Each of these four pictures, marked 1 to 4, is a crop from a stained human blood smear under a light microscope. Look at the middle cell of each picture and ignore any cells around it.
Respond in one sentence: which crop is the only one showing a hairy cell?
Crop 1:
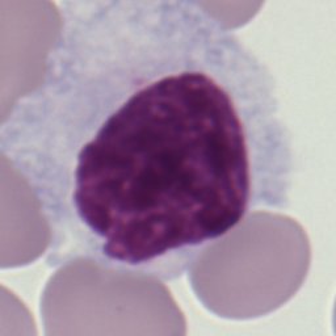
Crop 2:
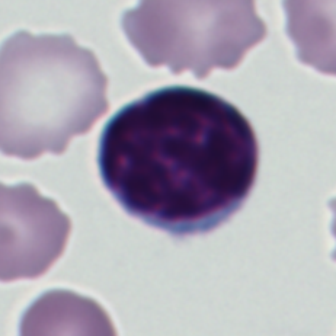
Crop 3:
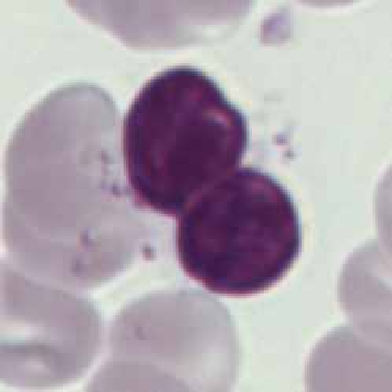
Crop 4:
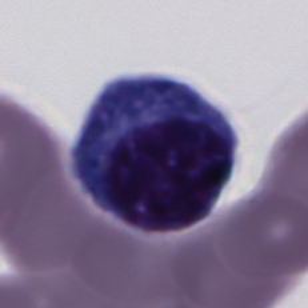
Crop 1 is the crop that displays a hairy cell.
